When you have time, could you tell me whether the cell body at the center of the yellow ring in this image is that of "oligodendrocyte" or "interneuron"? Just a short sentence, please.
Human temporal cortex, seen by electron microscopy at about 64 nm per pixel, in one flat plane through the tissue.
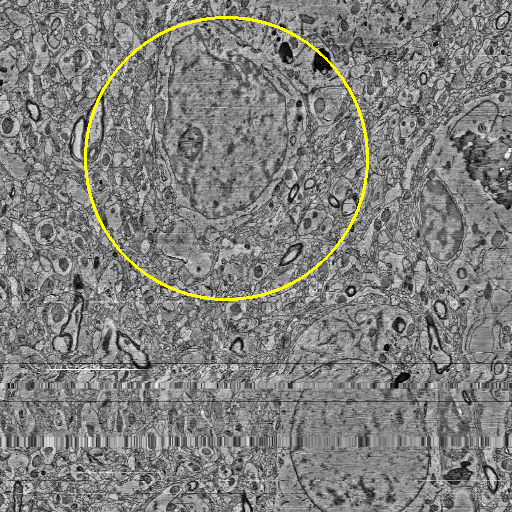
The cell body at the center of the ring is that of an interneuron.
